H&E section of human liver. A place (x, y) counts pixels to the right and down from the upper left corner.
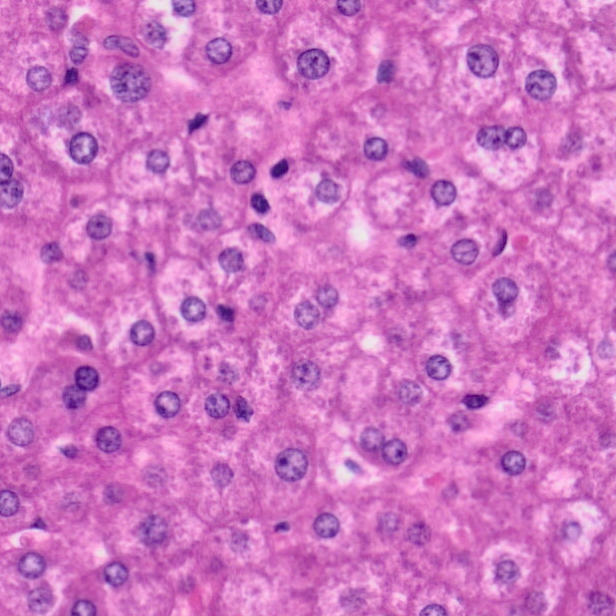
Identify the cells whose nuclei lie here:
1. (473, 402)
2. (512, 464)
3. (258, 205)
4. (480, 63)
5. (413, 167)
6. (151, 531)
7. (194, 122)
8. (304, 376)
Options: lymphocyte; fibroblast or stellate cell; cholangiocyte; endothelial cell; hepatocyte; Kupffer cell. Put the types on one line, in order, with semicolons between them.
fibroblast or stellate cell; hepatocyte; lymphocyte; hepatocyte; endothelial cell; hepatocyte; fibroblast or stellate cell; hepatocyte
